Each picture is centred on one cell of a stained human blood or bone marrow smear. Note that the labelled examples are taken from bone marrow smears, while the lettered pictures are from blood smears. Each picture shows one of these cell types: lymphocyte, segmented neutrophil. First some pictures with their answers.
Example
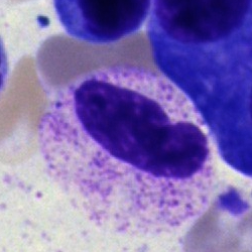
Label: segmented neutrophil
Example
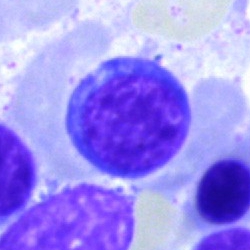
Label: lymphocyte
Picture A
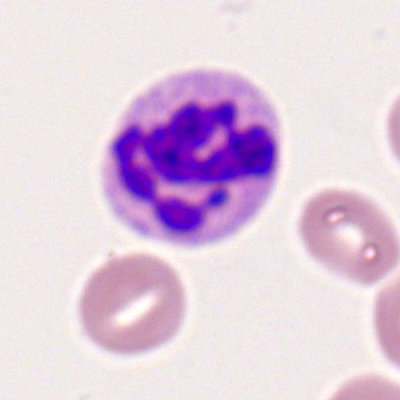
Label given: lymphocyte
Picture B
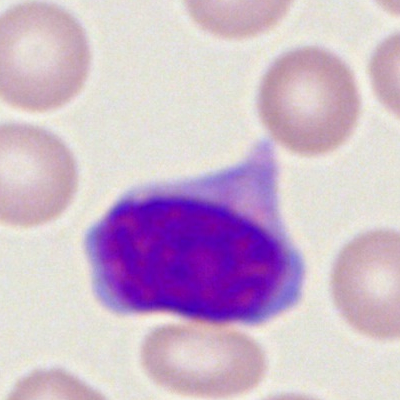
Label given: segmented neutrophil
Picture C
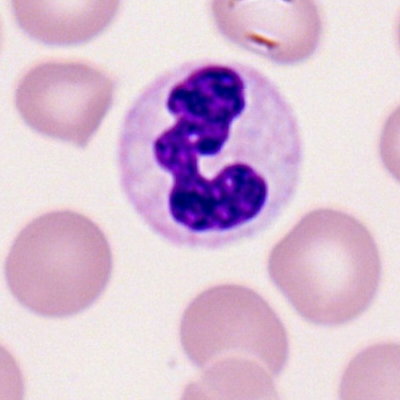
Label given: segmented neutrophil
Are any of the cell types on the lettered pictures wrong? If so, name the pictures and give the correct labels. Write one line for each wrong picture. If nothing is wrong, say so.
A: change lymphocyte to segmented neutrophil
B: change segmented neutrophil to lymphocyte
